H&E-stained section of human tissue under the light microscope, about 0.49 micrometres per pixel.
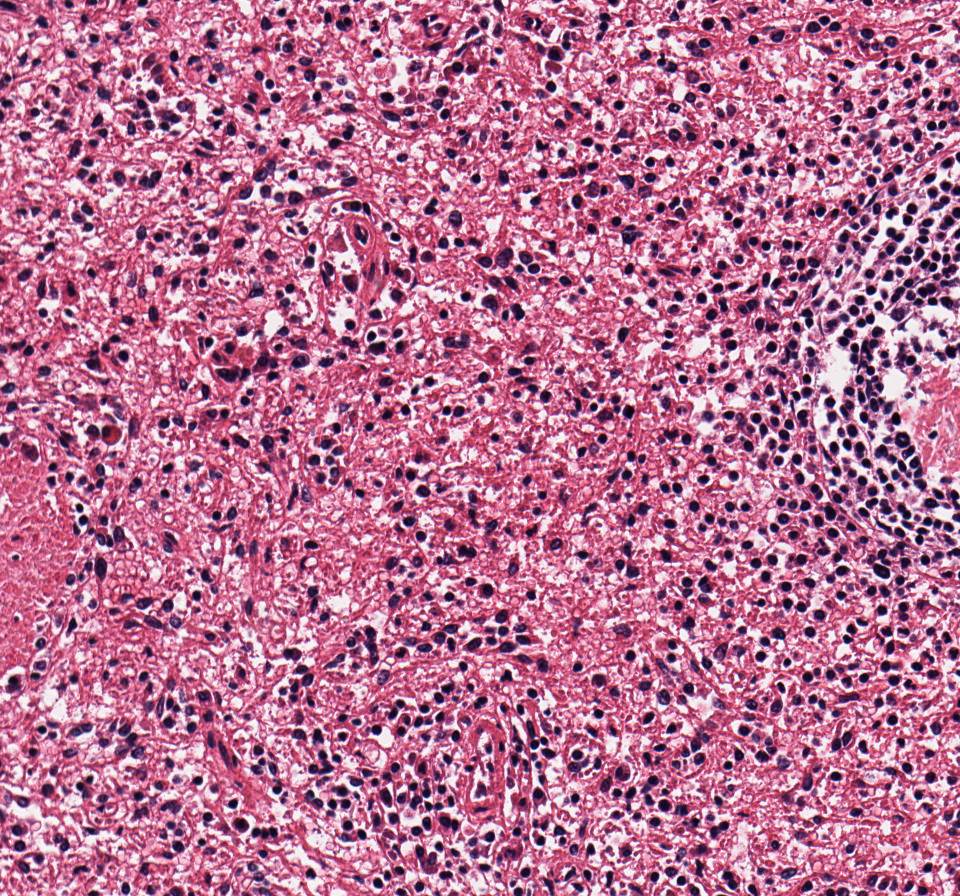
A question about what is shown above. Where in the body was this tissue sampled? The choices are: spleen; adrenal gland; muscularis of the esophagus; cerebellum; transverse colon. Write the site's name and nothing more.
spleen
